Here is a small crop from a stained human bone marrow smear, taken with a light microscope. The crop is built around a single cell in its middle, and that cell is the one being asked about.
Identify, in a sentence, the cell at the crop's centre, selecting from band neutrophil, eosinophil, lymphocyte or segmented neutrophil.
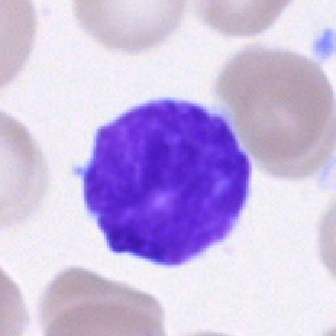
For this crop, the cell in the middle is a lymphocyte.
